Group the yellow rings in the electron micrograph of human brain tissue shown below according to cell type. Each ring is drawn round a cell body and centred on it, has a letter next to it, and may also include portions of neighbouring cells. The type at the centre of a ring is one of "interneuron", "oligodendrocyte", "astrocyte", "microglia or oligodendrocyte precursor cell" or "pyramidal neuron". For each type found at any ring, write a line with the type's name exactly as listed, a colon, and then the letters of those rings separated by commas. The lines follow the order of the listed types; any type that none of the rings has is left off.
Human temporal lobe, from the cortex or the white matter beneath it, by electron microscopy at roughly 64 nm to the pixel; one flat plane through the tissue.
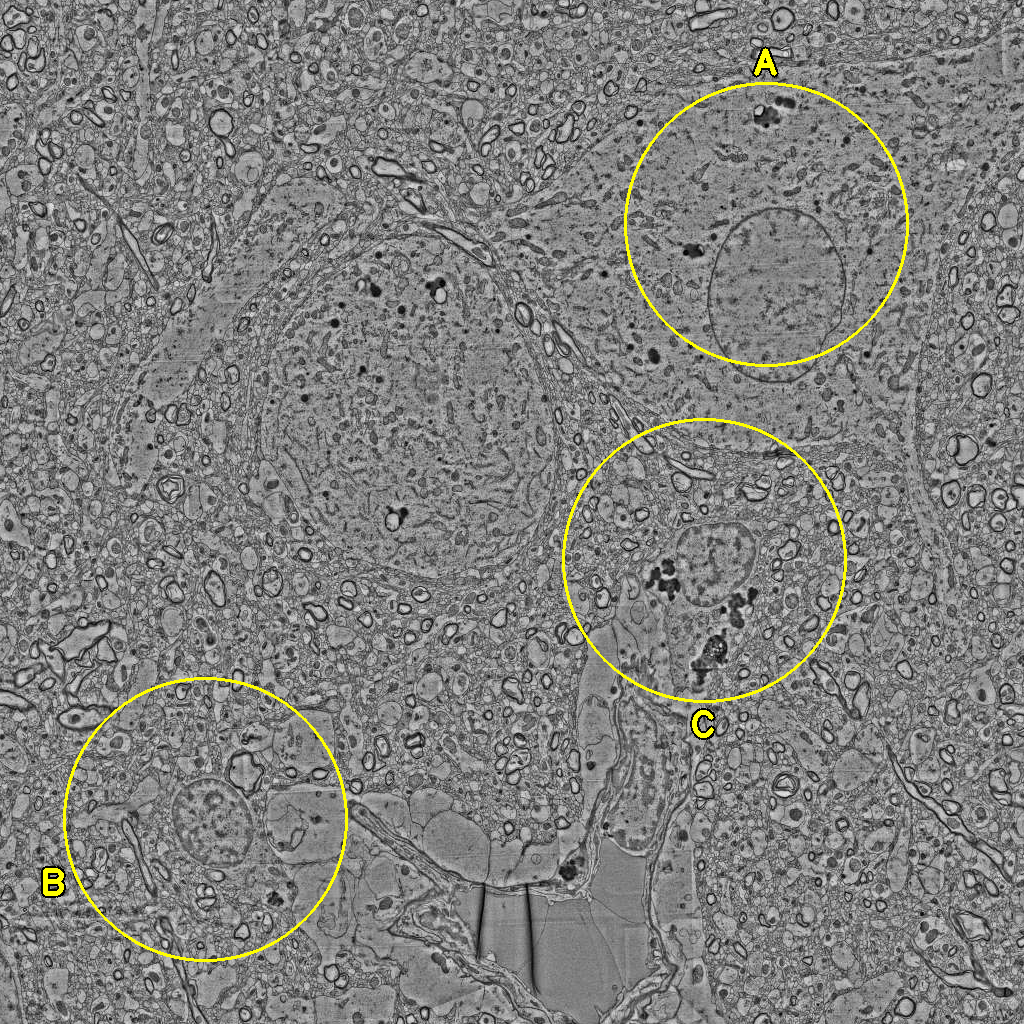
oligodendrocyte: B, C
pyramidal neuron: A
